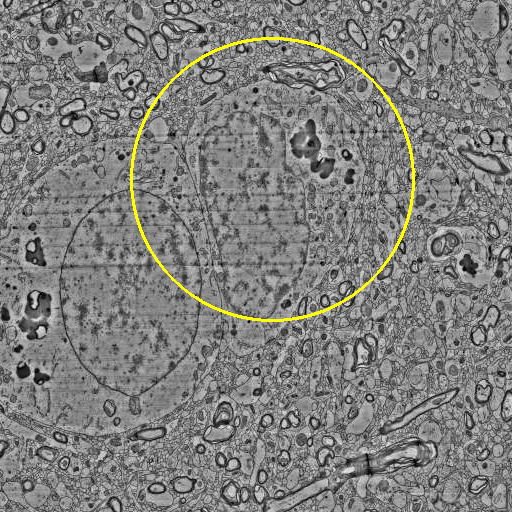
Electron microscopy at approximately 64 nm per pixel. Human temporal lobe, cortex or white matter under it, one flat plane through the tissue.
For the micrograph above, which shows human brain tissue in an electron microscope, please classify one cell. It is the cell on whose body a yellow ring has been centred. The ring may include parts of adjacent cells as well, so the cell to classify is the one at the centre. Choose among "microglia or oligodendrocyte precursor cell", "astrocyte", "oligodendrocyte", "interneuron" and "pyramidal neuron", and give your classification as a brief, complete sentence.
I classify this cell as an interneuron.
